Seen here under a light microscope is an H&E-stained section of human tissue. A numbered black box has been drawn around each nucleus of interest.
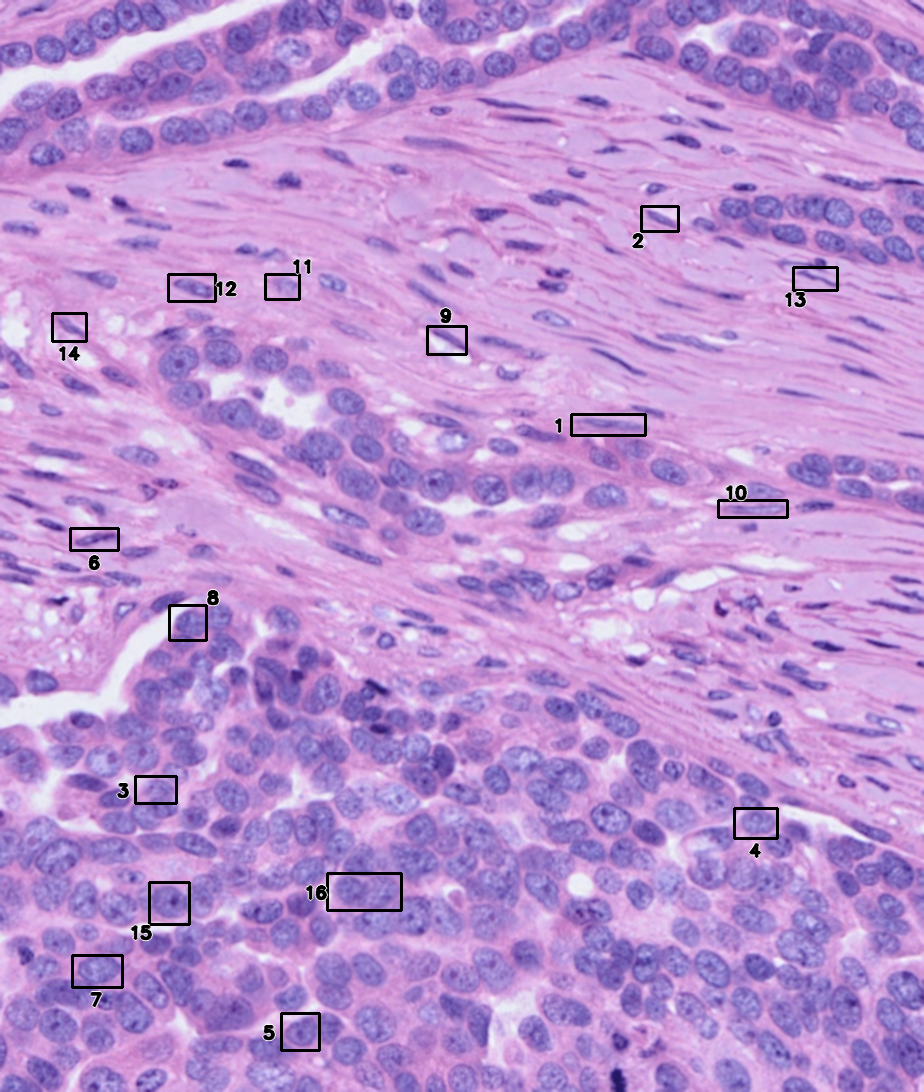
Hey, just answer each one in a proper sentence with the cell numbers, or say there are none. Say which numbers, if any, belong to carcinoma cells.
The cells the numbers 3, 4, 5, 7, 8, 15 and 16 point to are carcinoma cells.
